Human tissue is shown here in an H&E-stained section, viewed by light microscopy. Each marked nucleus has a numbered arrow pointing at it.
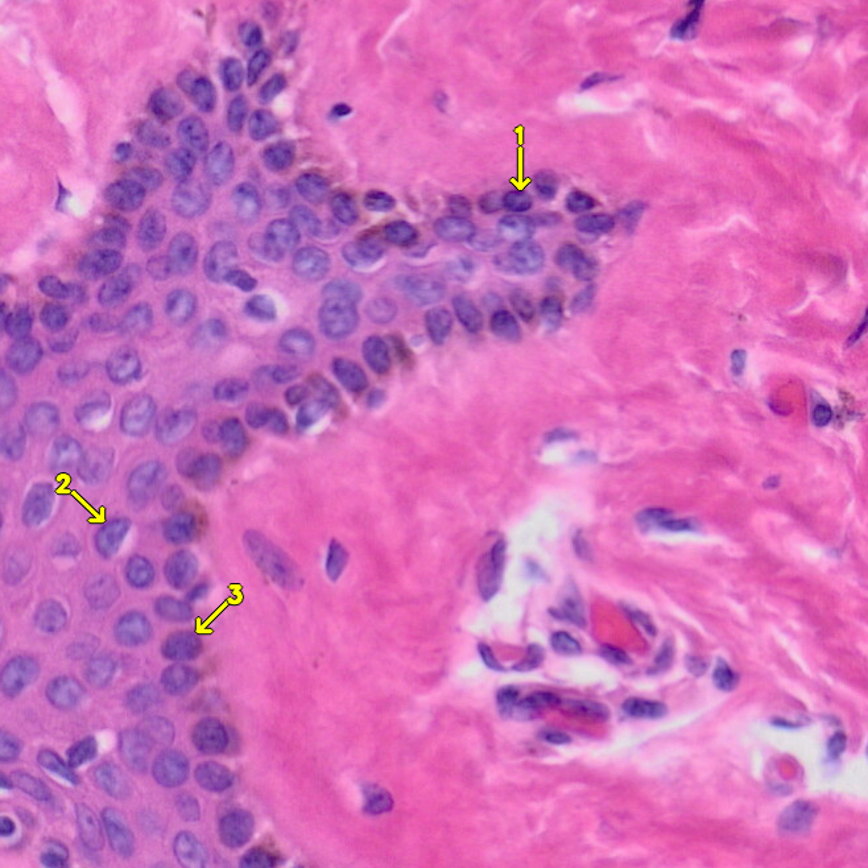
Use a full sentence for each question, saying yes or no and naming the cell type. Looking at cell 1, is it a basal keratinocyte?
Yes, it checks out; the cell labelled 1 is a basal keratinocyte.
